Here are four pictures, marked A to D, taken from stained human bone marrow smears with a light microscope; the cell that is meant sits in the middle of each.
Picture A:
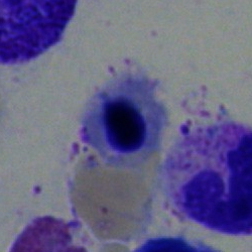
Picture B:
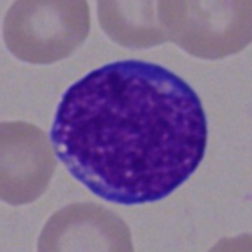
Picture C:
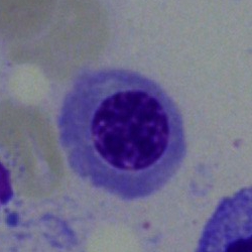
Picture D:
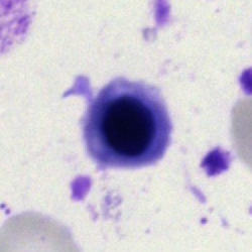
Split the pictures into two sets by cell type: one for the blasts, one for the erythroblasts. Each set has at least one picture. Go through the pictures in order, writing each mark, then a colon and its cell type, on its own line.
A: erythroblast
B: blast
C: erythroblast
D: erythroblast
